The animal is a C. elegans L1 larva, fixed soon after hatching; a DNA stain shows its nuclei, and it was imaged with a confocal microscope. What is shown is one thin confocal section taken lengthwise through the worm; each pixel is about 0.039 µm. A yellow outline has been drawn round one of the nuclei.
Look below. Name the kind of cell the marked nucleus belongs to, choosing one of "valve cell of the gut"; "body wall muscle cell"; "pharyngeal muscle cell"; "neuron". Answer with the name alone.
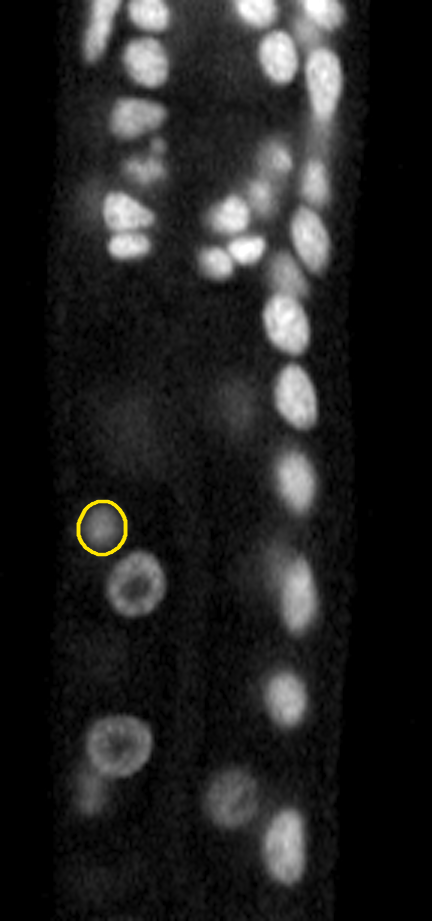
body wall muscle cell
